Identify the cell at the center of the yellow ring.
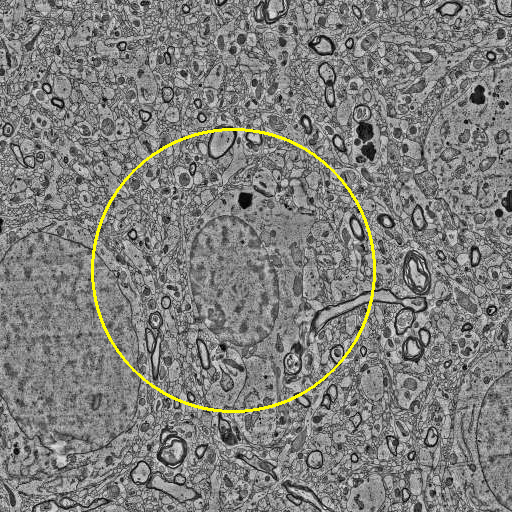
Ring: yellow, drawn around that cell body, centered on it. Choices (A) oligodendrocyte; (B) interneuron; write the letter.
A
